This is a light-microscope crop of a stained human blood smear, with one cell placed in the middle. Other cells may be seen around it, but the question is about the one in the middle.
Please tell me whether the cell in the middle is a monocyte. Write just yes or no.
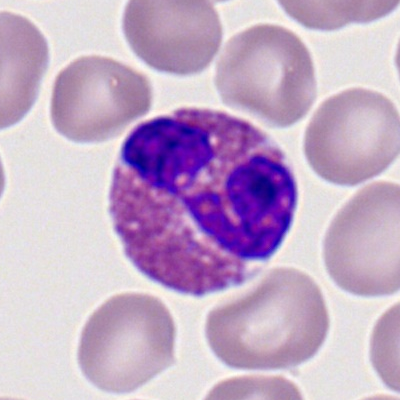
no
